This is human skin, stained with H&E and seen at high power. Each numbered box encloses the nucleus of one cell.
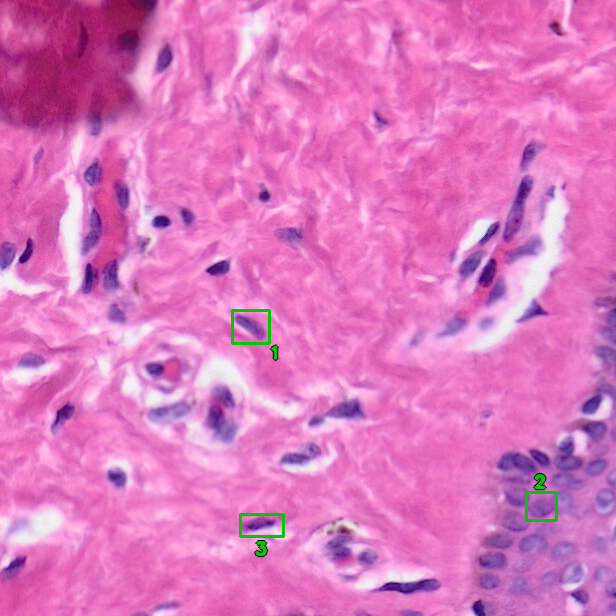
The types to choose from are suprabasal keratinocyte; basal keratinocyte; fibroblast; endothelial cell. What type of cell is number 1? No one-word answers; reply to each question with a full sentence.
The correct answer for cell 1 is a fibroblast.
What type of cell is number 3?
The marked cell bearing number 3 is a fibroblast.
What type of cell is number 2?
The nucleus labelled 2 belongs to a basal keratinocyte.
